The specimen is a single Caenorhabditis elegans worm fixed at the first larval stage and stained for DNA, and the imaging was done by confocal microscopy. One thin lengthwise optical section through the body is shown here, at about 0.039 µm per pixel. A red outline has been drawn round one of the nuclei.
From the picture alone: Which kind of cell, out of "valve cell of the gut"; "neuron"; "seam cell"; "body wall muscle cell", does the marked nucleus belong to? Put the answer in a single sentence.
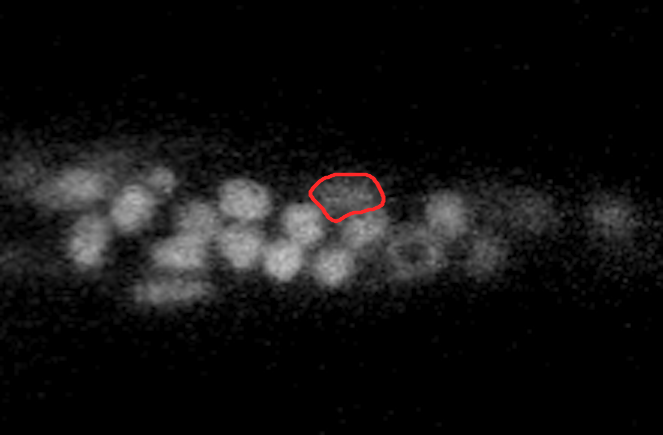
The marked nucleus is that of a body wall muscle cell.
